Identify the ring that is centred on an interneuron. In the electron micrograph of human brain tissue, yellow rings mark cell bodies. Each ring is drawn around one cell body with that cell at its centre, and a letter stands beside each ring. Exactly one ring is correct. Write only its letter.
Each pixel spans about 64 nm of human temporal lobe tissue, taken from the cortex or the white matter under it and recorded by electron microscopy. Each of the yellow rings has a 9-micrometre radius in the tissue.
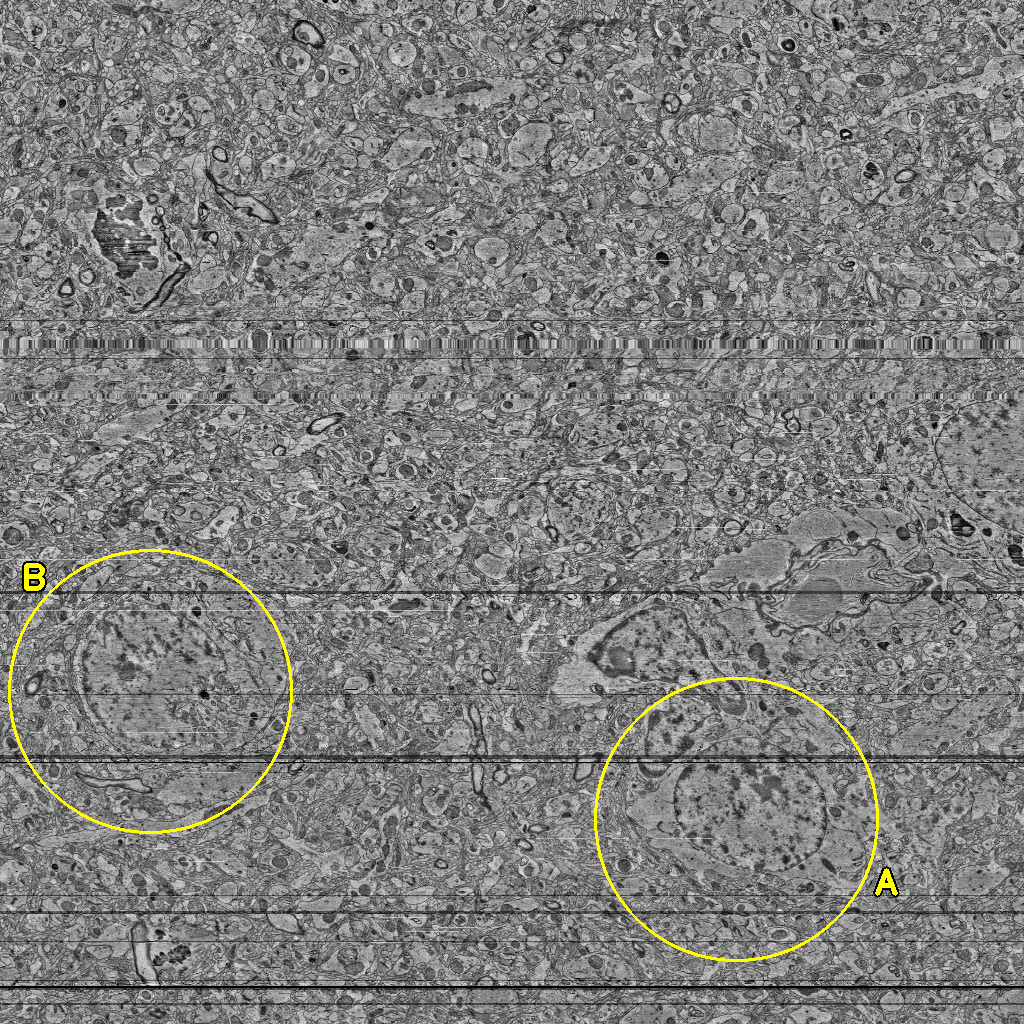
B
